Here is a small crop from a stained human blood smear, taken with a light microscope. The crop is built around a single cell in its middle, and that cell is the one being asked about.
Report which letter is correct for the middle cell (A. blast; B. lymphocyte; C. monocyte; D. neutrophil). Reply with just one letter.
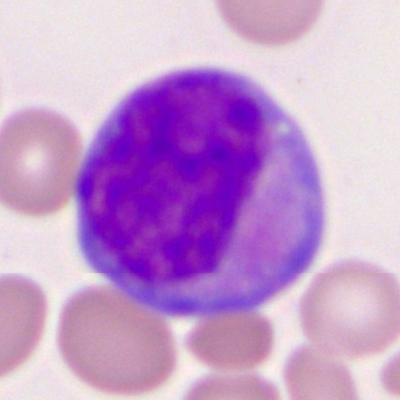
A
